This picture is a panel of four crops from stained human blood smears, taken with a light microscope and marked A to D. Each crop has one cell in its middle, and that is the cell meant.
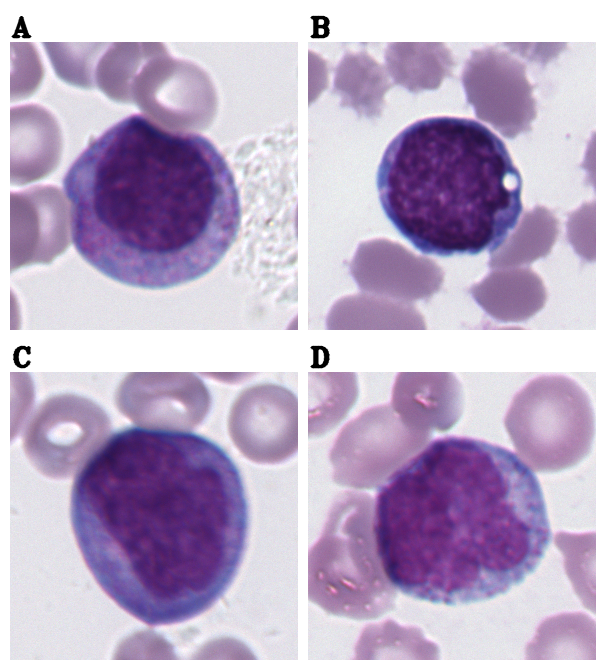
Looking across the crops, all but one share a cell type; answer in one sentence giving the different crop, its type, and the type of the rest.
Crop B is the one to flag: it is a monocyte, and the rest show promyelocytes.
